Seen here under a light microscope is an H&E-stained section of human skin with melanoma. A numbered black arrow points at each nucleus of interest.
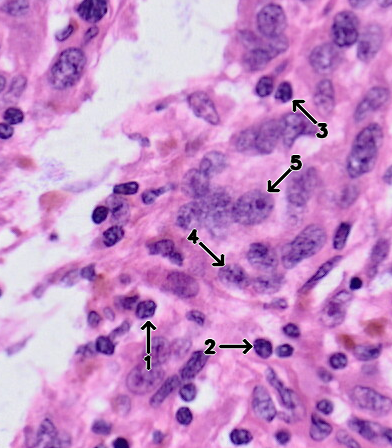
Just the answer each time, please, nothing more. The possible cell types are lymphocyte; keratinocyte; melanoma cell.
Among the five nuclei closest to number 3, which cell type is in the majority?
melanoma cell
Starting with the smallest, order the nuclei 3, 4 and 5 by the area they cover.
3, 4, 5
